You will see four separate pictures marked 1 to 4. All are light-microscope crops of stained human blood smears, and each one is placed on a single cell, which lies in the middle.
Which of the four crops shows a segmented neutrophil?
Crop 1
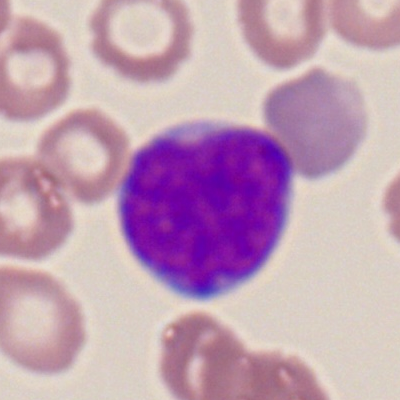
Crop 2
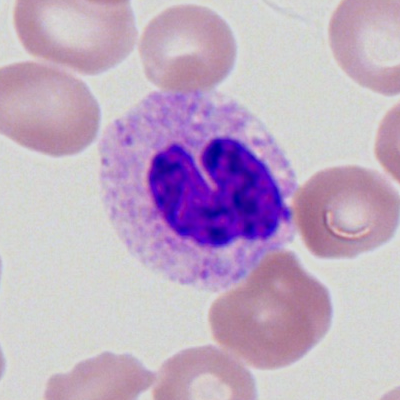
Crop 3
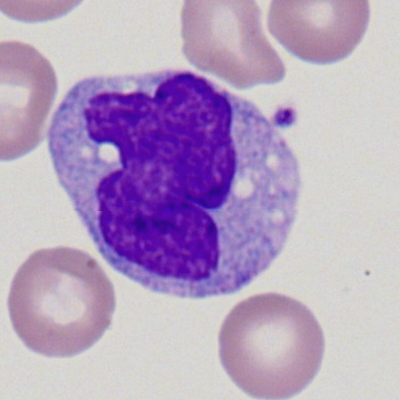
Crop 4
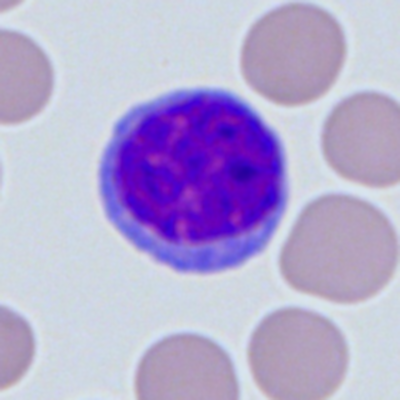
2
